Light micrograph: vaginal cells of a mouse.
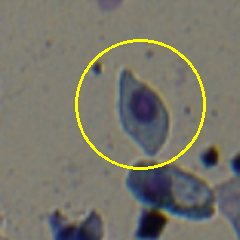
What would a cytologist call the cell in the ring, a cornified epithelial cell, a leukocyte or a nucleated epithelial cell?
A cytologist would call it a nucleated epithelial cell.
